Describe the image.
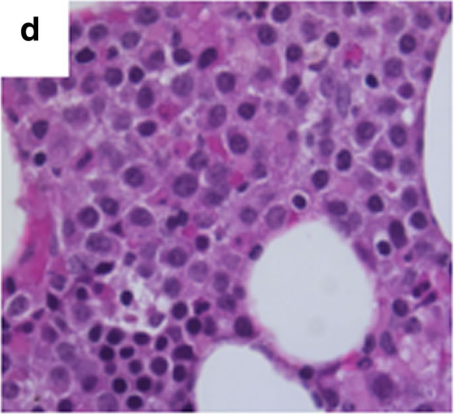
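The cells are round to oval and packed tightly, each with a round nucleus that often sits off to one side and shows coarse, clumped dark chromatin. Their cytoplasm is plentiful and purple-pink, giving the cells a plump look.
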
